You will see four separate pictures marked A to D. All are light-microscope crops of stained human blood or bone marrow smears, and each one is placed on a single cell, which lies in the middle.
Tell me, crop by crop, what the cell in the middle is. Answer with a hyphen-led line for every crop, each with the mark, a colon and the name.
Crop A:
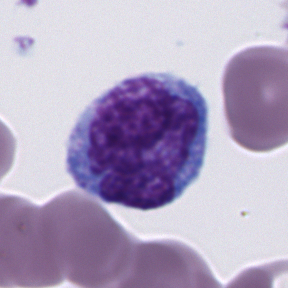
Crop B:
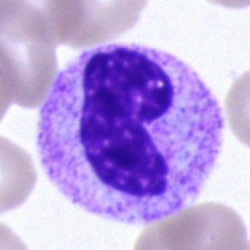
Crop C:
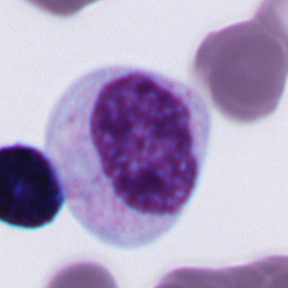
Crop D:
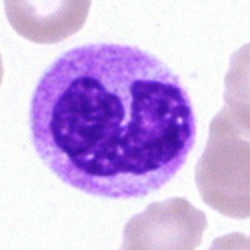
- A: monocyte
- B: band neutrophil
- C: band neutrophil
- D: band neutrophil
